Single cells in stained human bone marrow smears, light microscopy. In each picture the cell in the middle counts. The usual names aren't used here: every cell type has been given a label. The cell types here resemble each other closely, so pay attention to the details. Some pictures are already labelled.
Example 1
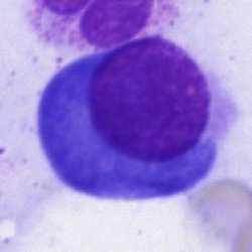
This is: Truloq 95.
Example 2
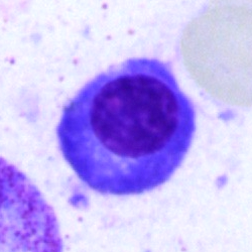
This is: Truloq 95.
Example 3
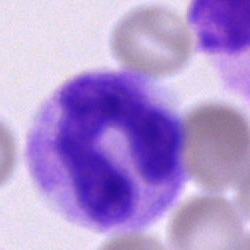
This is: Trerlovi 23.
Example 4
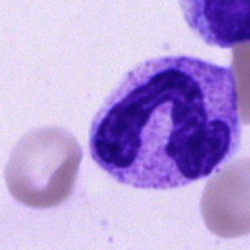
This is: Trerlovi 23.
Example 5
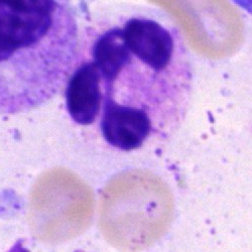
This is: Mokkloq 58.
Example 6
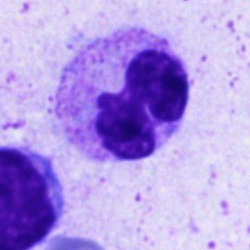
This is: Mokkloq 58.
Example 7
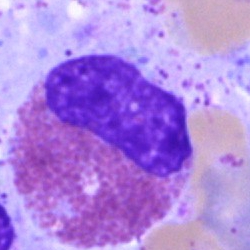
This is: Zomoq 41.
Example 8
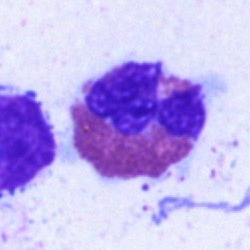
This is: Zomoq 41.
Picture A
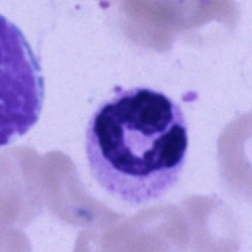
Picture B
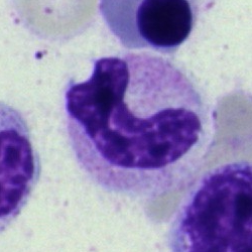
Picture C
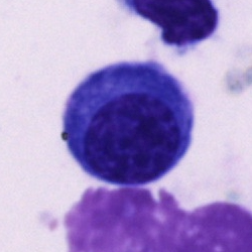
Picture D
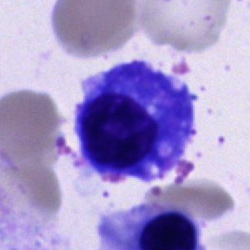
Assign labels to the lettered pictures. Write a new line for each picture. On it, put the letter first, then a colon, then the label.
A: Mokkloq 58.
B: Trerlovi 23.
C: Truloq 95.
D: Truloq 95.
